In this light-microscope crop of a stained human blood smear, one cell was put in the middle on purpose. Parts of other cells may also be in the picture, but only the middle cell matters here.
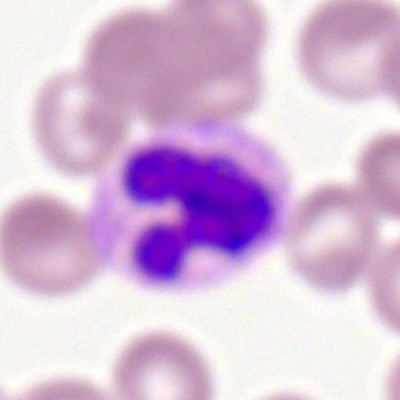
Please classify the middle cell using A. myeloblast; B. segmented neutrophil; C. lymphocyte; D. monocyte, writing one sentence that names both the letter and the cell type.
That the central cell is a segmented neutrophil makes option B correct.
